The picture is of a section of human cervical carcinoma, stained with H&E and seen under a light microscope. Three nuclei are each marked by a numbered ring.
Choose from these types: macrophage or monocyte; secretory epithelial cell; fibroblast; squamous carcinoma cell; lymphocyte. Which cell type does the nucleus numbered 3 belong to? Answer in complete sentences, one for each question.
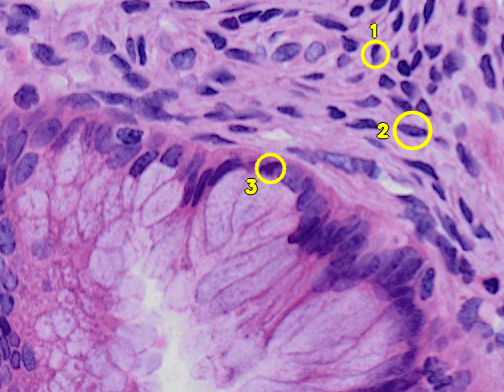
The one labeled 3 is a secretory epithelial cell, to put it simply.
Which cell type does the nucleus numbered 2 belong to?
Cell 2 of the marked set is a fibroblast.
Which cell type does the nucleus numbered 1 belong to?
The marked nucleus 1 is that of a fibroblast.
